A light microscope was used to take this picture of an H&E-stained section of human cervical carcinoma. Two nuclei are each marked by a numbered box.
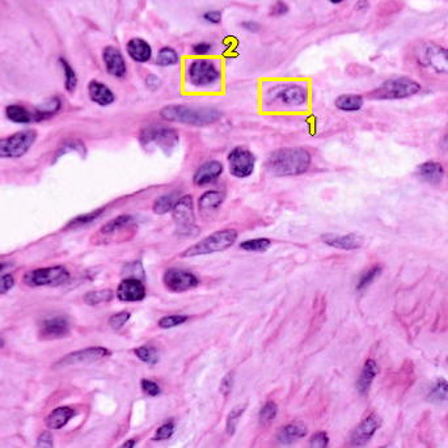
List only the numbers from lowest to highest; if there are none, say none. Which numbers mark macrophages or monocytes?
1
